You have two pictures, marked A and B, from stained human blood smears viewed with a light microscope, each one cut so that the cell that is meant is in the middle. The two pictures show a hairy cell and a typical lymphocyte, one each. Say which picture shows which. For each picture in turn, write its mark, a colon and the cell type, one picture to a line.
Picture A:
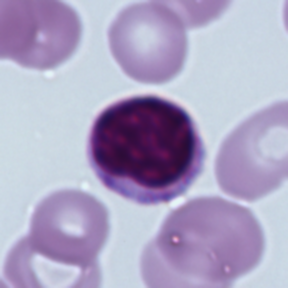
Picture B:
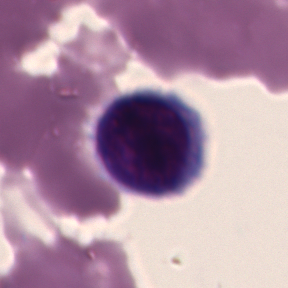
A: typical lymphocyte
B: hairy cell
